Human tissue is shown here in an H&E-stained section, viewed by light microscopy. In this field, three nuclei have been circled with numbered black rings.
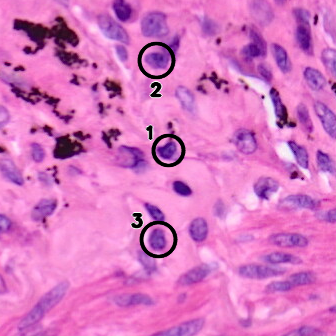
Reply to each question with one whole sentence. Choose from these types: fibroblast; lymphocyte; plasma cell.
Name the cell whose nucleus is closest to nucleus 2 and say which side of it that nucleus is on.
Lying above and to the right of nucleus 2, the nearest nucleus is that of a plasma cell.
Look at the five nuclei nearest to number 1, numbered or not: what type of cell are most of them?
The majority of the five nuclei closest to number 1 belong to fibroblasts.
